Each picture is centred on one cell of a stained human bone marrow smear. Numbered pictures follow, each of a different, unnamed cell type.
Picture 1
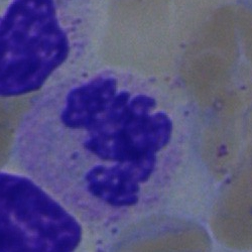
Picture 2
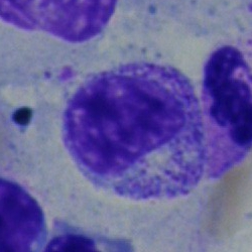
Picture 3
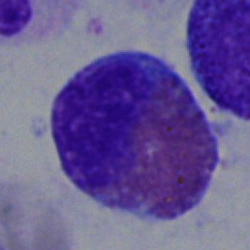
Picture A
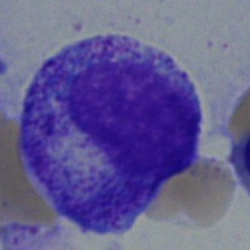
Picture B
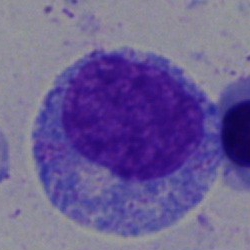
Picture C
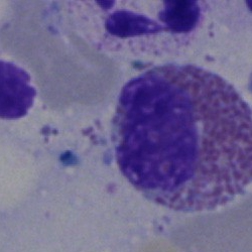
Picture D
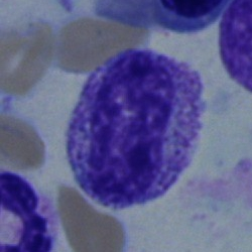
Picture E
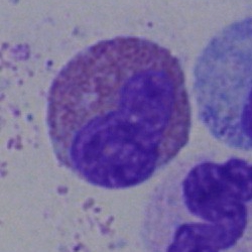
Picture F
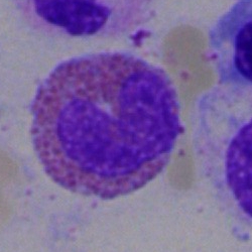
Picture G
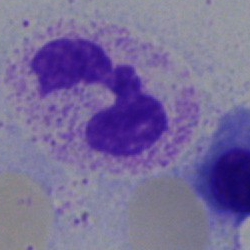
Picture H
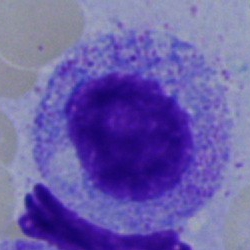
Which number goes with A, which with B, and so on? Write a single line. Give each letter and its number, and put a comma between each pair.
A 2, B 2, C 3, D 2, E 3, F 3, G 1, H 2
